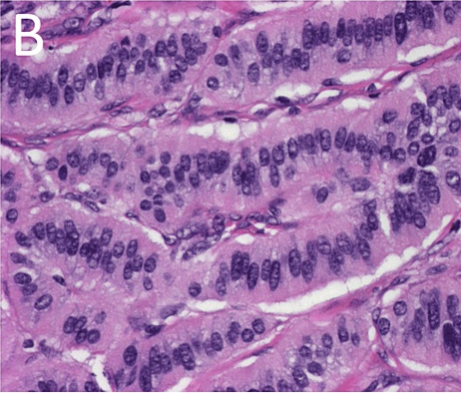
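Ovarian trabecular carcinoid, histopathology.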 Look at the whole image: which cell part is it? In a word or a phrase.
eosinophilic cytoplasm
